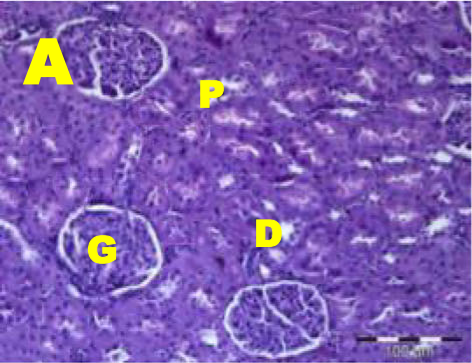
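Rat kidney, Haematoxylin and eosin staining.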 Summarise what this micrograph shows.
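Three round, lobulated tufts of capillaries with purple nuclei sit each inside a thin capsule, separated from it by a clear pale space, among many closely packed tubules lined by pink cuboidal cells with round dark nuclei. Some tubules have small, fuzzy-edged lumens and others wider, clearer lumens. This is renal cortex with glomeruli in Bowman’s capsules surrounded by proximal and distal tubules.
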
